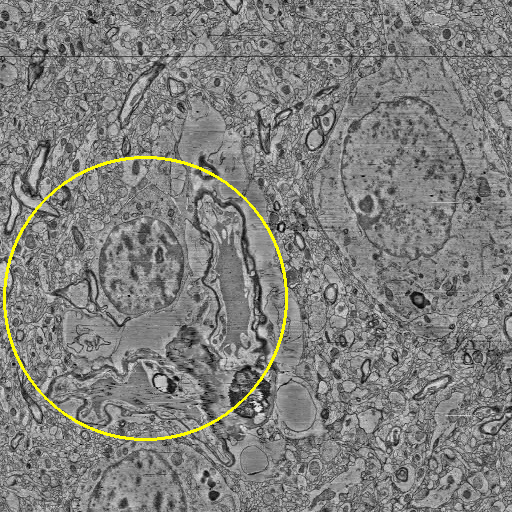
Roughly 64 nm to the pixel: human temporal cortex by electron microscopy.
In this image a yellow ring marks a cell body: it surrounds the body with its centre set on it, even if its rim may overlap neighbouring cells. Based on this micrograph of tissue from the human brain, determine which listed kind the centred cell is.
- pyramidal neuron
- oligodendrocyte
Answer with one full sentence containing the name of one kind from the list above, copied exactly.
It is an oligodendrocyte whose body the yellow ring encloses at its centre.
